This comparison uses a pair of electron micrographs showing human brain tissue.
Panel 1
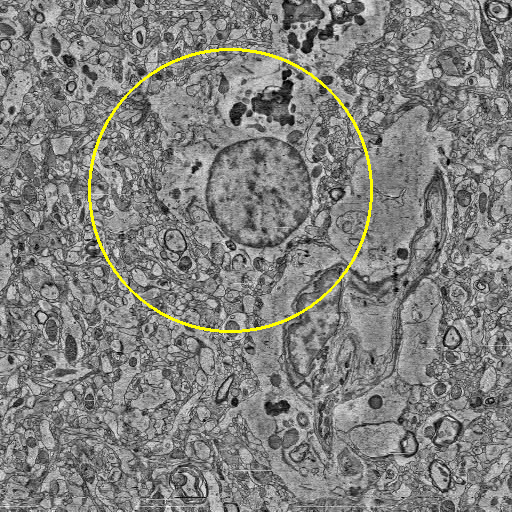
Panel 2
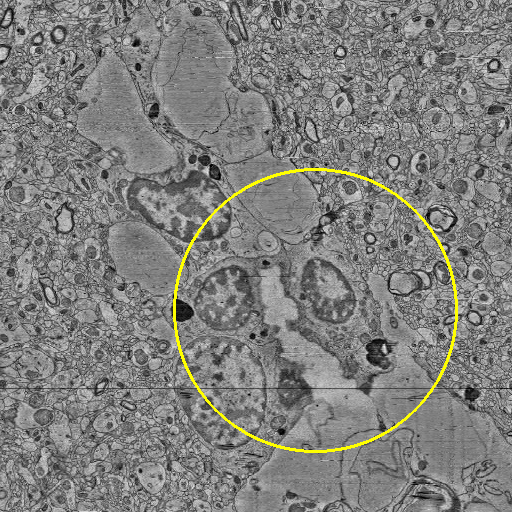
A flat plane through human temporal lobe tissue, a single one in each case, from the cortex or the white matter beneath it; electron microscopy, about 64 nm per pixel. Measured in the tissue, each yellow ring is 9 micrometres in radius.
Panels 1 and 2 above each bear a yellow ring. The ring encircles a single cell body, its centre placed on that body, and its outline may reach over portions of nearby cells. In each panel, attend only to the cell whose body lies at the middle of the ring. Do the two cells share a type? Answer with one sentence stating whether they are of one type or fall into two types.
In Panel 1 and Panel 2, the cells at the centres of the rings fall into two types.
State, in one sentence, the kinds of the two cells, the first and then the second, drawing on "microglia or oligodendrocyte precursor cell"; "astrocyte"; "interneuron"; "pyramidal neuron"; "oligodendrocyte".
The ring in the second picture is centred on an oligodendrocyte, the ring in the first on an astrocyte.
